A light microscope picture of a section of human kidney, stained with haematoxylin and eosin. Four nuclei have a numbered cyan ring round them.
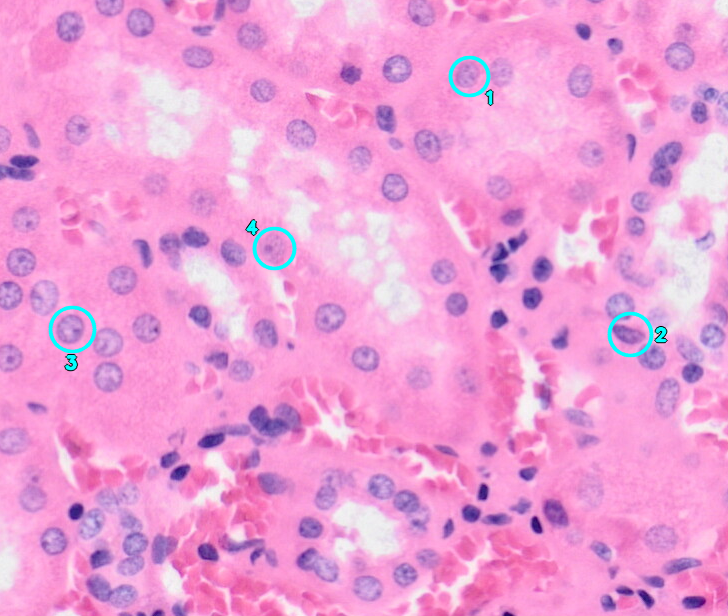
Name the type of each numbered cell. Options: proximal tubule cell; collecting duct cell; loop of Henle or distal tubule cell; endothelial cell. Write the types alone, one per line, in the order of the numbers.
proximal tubule cell
collecting duct cell
proximal tubule cell
proximal tubule cell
